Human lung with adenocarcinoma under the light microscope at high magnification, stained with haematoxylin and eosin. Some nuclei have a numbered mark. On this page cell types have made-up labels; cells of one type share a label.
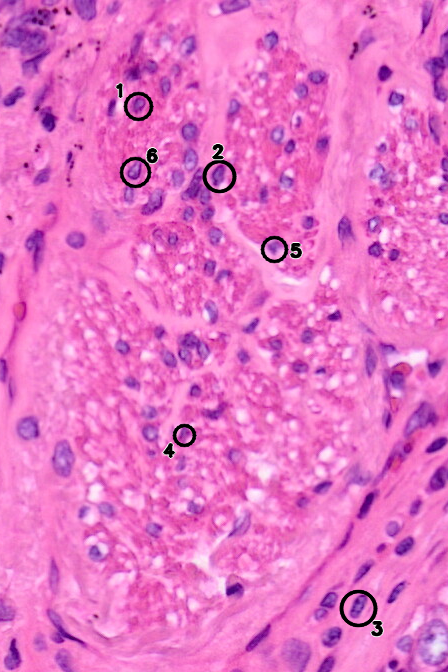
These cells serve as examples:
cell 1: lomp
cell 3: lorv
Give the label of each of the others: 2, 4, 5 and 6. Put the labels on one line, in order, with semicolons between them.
lorv; lomp; lomp; lomp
